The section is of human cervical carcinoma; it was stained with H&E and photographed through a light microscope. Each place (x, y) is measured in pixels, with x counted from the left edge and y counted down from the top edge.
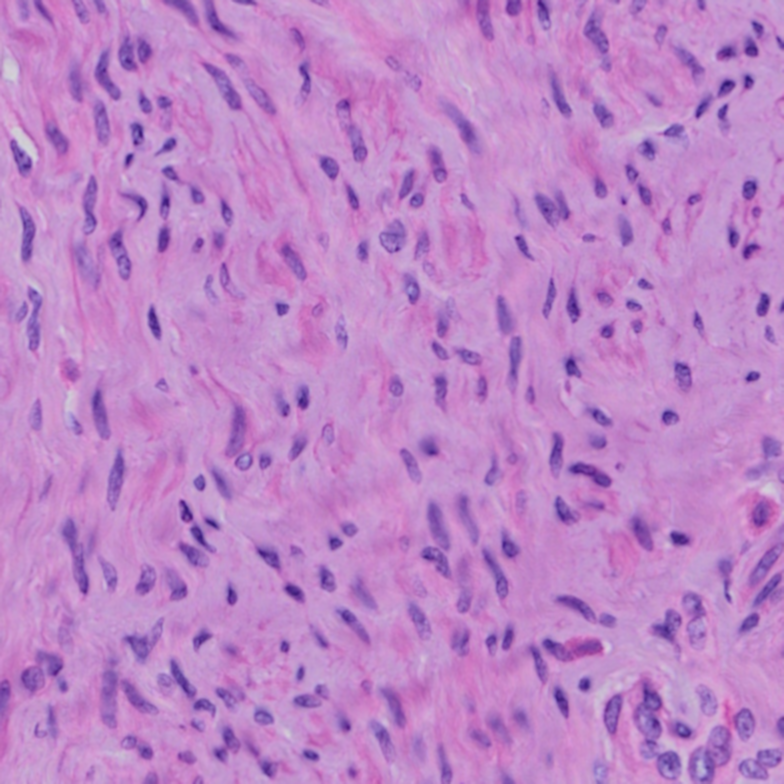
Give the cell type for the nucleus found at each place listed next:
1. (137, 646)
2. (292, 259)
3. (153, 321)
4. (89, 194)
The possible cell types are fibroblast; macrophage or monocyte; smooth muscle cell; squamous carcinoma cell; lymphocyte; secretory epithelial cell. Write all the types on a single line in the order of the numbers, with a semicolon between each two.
fibroblast; smooth muscle cell; fibroblast; smooth muscle cell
